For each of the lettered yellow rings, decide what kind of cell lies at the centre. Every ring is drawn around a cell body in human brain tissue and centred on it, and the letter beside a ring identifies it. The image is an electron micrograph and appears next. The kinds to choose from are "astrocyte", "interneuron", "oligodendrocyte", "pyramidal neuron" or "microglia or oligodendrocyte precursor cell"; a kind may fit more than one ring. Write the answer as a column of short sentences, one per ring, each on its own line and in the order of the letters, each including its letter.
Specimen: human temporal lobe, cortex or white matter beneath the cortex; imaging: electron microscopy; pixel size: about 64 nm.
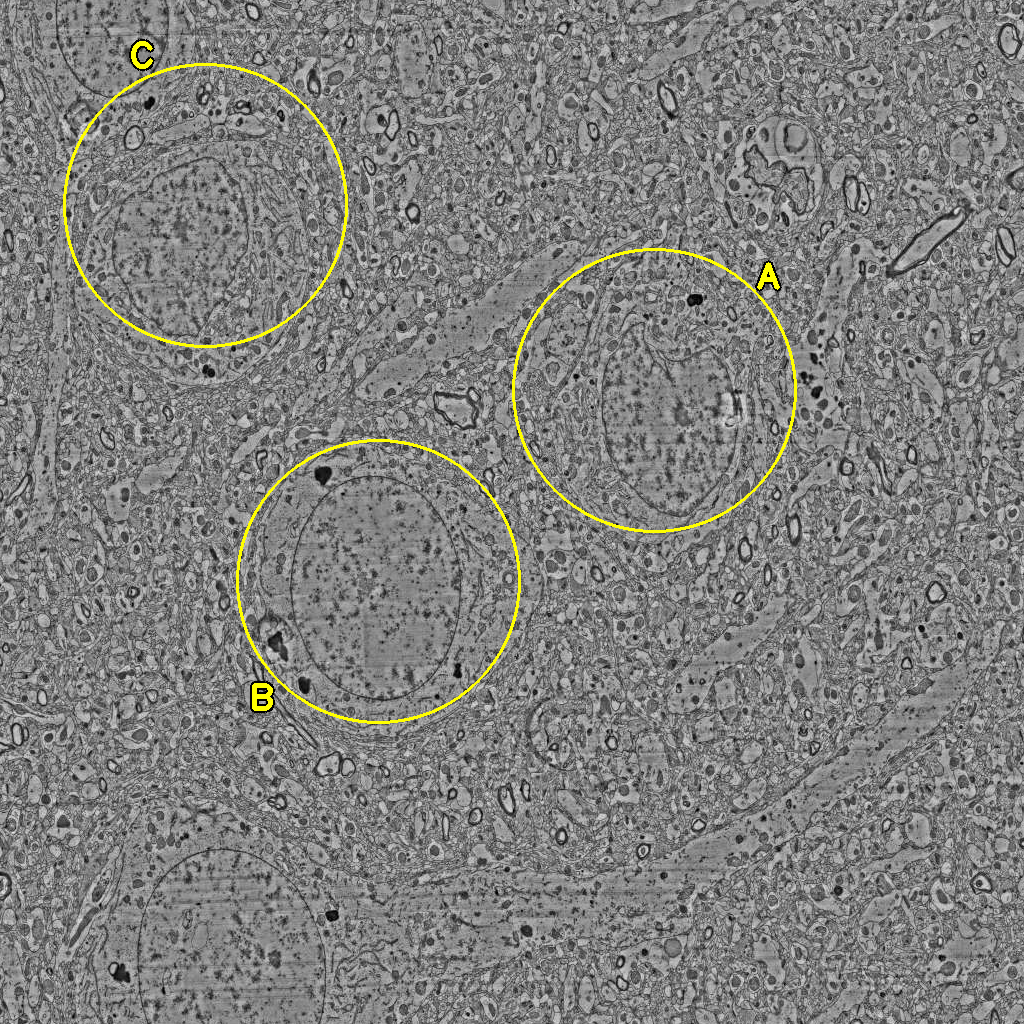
In the centre of ring A lies an interneuron.
In the centre of ring B lies a pyramidal neuron.
In the centre of ring C lies an interneuron.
